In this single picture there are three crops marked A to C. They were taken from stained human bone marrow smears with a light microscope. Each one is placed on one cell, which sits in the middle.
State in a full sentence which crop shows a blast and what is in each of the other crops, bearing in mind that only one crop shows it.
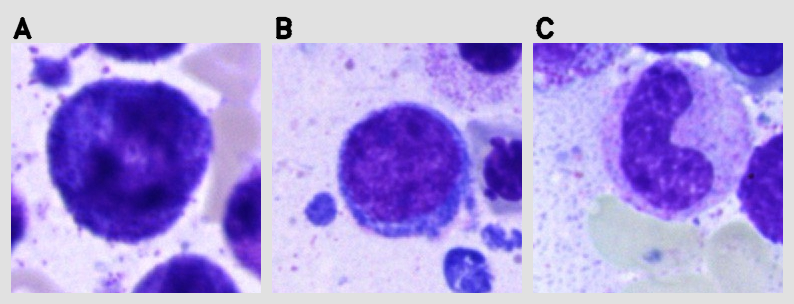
At the centre of crop B lies a blast, while crop A is a promyelocyte and crop C is a band neutrophil.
